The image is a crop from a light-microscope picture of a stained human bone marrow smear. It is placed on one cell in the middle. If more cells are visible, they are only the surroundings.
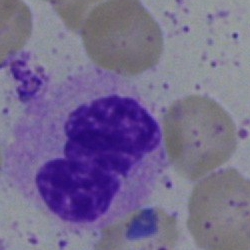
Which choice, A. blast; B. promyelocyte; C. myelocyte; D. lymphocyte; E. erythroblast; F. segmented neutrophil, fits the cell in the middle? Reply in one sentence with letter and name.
The cell positioned centrally is a segmented neutrophil, as given in option F, which is correct.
